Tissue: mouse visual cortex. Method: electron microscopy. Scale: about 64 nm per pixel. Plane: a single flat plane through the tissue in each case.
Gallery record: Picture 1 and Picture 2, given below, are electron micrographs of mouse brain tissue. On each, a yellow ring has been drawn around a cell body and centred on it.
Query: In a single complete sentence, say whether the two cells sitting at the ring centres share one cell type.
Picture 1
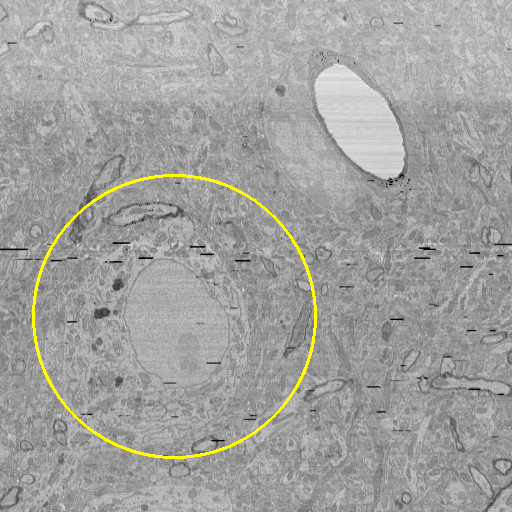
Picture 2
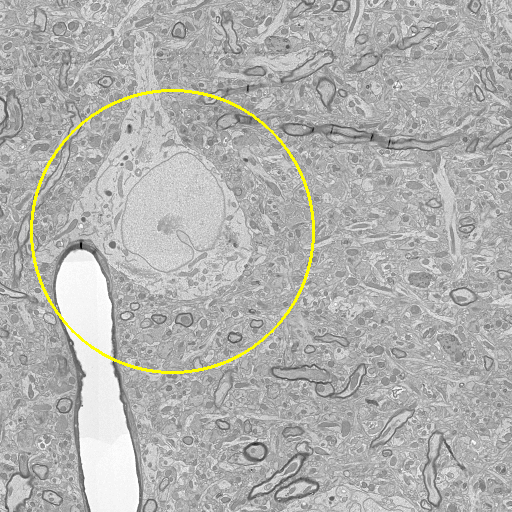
No, in the two pictures the cells at the rings' centres are of two separate types.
